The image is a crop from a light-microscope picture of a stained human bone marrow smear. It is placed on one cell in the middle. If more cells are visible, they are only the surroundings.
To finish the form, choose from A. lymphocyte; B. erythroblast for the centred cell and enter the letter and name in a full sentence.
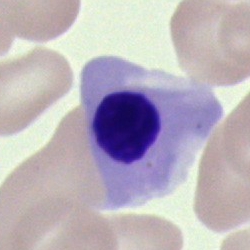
The cell shown centrally is an erythroblast; option B is the correct option.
